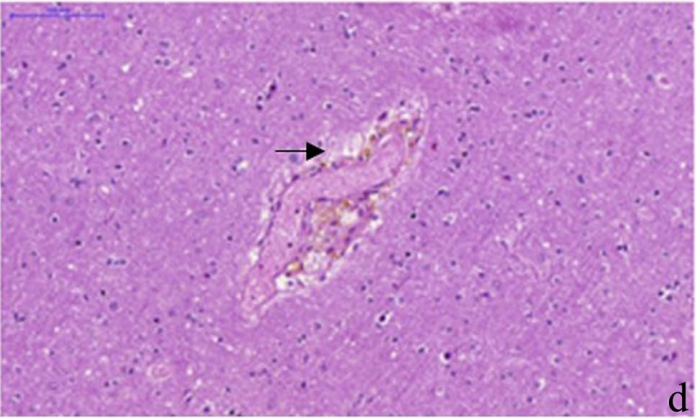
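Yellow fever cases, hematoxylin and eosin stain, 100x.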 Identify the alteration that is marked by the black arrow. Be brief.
Perivascular hemosiderin deposition.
